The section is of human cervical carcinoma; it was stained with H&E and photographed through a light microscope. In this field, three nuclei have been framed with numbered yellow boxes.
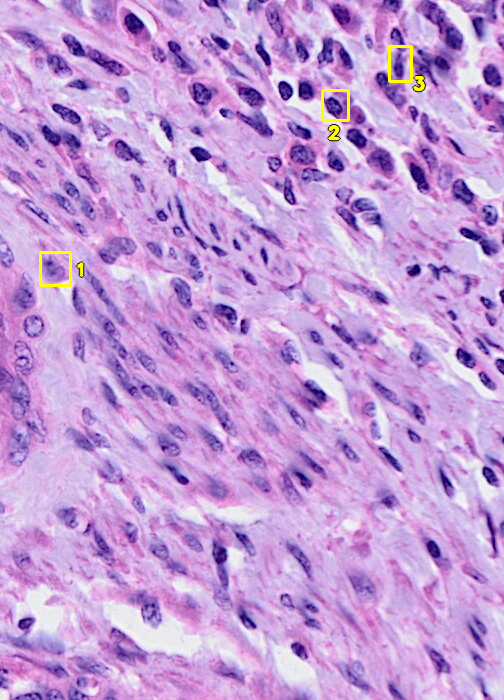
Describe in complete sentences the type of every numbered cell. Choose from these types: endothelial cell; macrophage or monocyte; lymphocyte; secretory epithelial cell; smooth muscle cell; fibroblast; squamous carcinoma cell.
Cell 1 is a macrophage or monocyte, cell 2 is a lymphocyte and cell 3 is a lymphocyte.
